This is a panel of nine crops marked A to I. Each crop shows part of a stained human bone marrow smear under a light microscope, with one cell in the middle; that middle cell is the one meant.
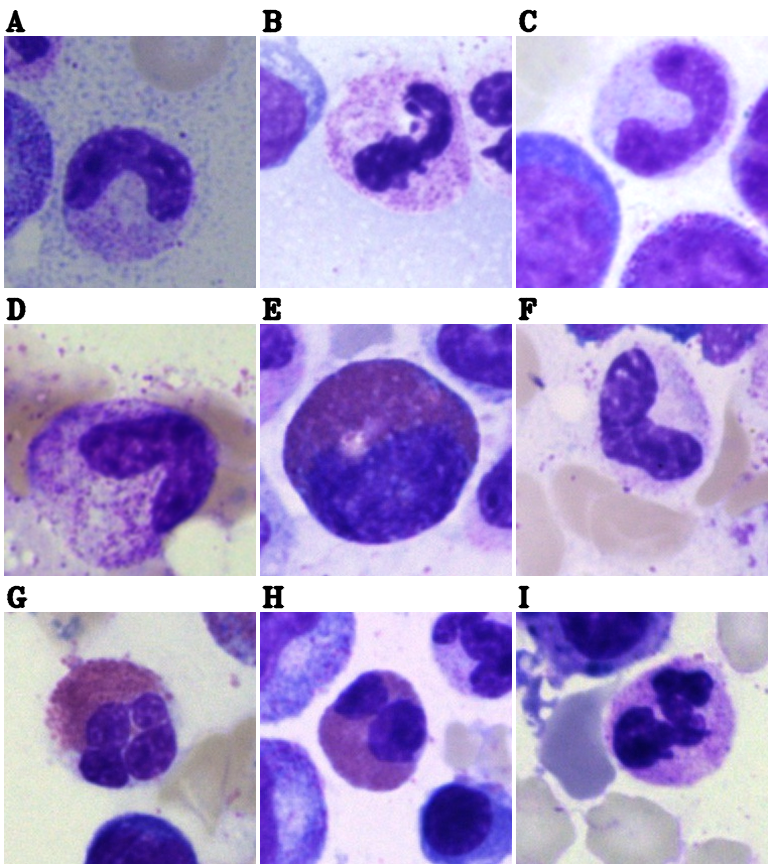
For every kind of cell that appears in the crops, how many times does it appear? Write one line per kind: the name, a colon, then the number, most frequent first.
band neutrophil: 4
eosinophil: 3
segmented neutrophil: 2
